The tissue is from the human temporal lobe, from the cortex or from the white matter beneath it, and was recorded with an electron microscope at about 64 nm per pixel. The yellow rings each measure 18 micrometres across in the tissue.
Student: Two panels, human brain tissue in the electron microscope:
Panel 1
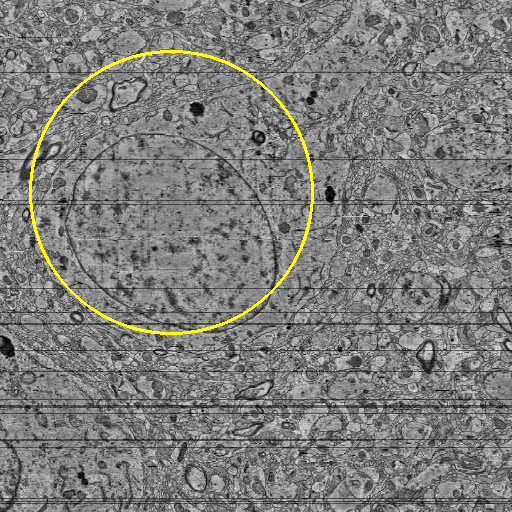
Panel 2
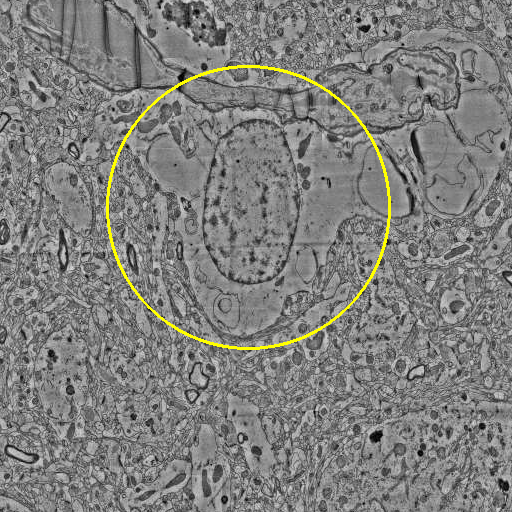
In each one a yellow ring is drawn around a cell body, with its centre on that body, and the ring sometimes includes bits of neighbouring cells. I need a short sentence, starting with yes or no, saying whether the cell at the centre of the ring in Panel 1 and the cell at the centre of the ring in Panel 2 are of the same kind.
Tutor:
No, they are two kinds of cell.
